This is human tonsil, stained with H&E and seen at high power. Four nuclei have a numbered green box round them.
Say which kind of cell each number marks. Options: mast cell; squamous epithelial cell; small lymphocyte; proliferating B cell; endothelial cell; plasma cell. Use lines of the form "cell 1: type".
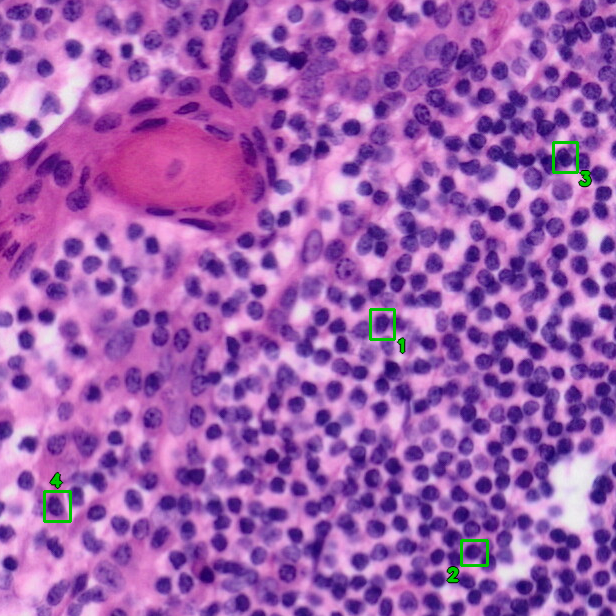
cell 1: small lymphocyte
cell 2: small lymphocyte
cell 3: small lymphocyte
cell 4: plasma cell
